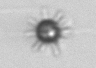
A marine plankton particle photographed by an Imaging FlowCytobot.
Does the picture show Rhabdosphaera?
Yes.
